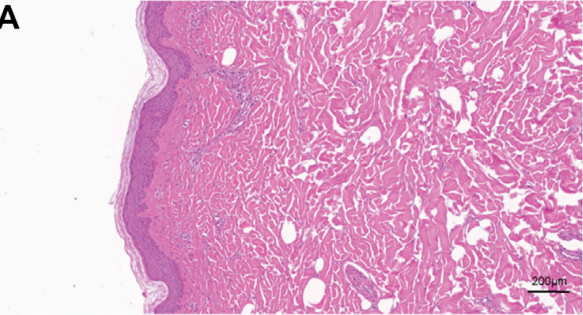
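This section of skin shows an intact epidermis along the left edge, a stratified layer of purple-staining cells topped by a pale pink, flaky cornified layer. The lower border of the epidermis undulates against the underlying dermis. The dermis is made of loosely arranged pink collagen bundles separated by narrow white clefts, with scattered small round clear spaces and a few small clusters of purple nuclei.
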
